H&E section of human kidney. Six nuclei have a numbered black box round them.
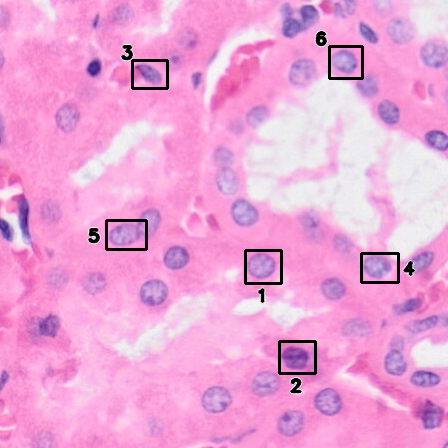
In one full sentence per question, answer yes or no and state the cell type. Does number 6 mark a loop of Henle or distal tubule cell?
Yes, the marked cell number 6 is a loop of Henle or distal tubule cell.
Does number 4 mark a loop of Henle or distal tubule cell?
Yes, within this section, cell number 4 is a loop of Henle or distal tubule cell.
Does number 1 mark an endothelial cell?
No, the marked cell 1 is not an endothelial cell, being instead a proximal tubule cell.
